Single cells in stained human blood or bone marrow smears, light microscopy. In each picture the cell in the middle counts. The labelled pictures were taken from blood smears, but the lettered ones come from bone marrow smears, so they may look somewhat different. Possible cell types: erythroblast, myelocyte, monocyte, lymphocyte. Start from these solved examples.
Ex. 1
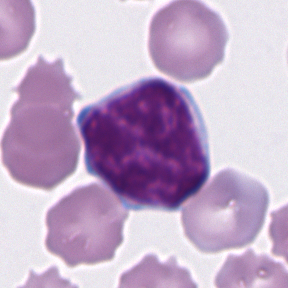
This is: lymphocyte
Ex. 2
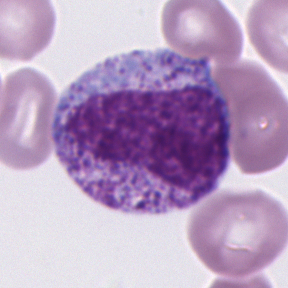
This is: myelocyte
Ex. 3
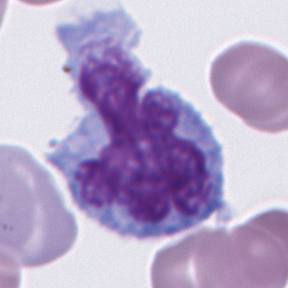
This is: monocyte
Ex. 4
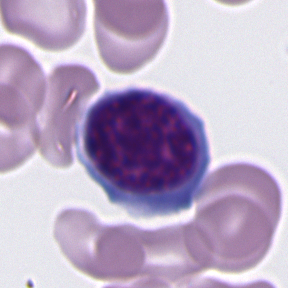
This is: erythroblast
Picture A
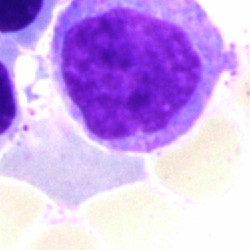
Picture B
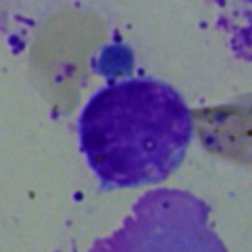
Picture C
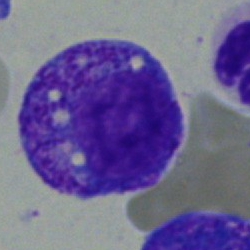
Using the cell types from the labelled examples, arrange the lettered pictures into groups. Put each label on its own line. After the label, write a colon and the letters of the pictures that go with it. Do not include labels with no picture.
myelocyte: C
monocyte: A
lymphocyte: B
